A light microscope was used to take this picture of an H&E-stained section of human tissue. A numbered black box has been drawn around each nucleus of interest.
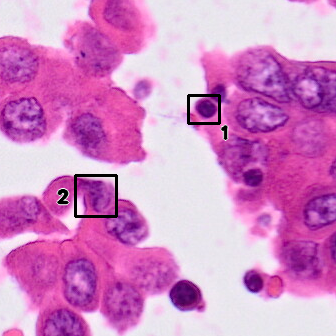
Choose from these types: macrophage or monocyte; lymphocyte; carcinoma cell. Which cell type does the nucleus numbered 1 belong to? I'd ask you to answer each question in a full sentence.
Marked with the number 1, this cell is a lymphocyte.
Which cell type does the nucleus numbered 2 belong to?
Number 2 among the marked cells is a carcinoma cell.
